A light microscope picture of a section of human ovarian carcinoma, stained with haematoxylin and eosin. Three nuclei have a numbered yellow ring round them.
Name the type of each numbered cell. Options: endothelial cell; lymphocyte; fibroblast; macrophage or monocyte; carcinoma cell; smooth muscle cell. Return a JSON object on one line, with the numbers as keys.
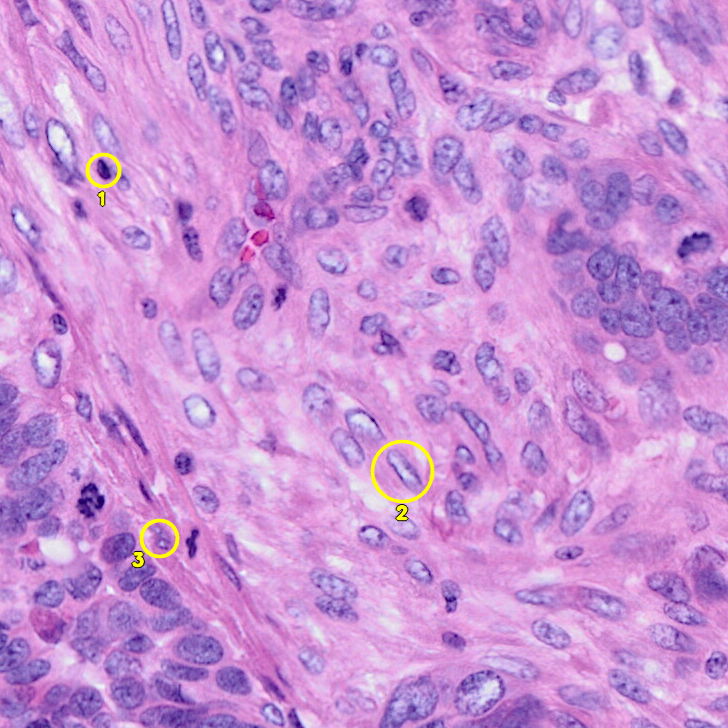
{"1": "lymphocyte", "2": "fibroblast", "3": "fibroblast"}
